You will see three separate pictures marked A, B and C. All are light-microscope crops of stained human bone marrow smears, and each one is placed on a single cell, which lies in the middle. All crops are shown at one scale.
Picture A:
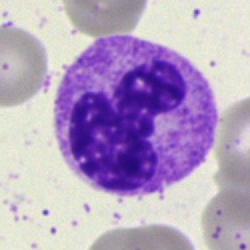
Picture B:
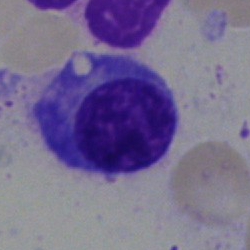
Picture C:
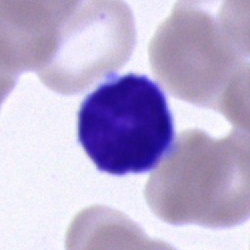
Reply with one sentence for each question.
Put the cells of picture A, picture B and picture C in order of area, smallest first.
The order is C, B, A, beginning with the smallest.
